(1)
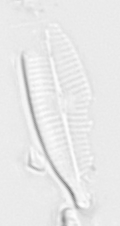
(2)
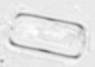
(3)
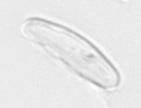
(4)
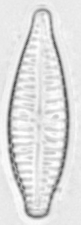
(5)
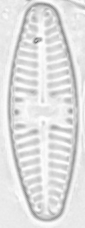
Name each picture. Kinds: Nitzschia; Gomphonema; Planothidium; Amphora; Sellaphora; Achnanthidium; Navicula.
(1) Navicula
(2) Sellaphora
(3) Achnanthidium
(4) Gomphonema
(5) Planothidium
